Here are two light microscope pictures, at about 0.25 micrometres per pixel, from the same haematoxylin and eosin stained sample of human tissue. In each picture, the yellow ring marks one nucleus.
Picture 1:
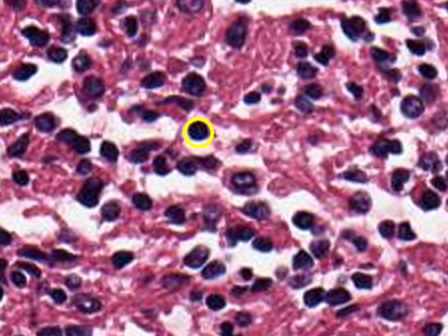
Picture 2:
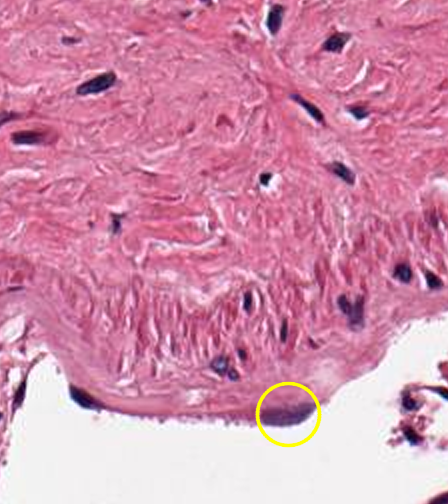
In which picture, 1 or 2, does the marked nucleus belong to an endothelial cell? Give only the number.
2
